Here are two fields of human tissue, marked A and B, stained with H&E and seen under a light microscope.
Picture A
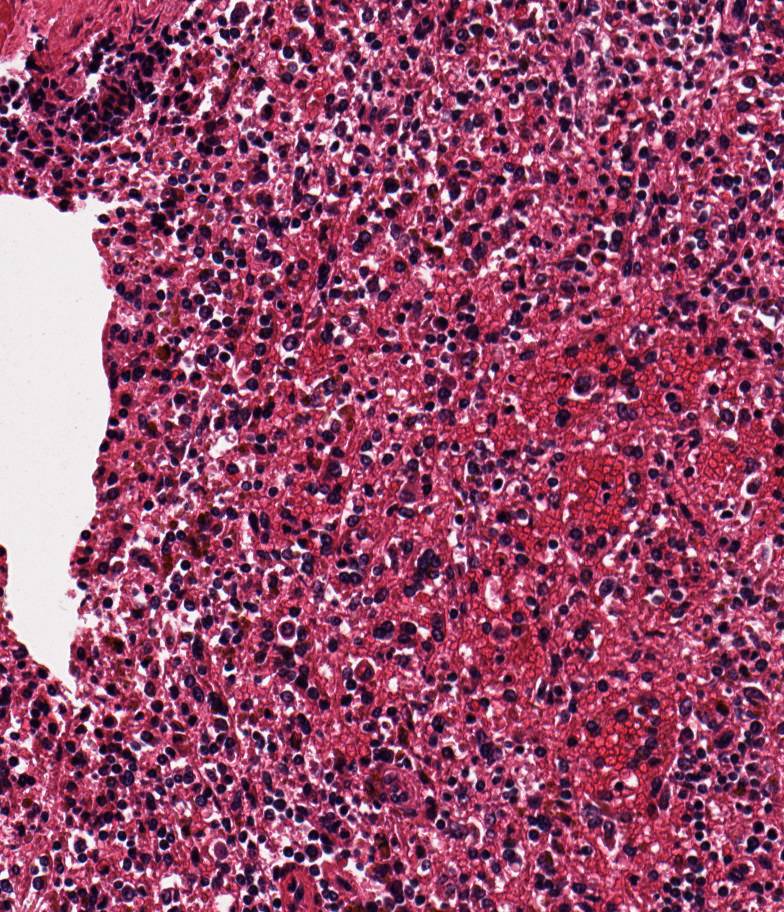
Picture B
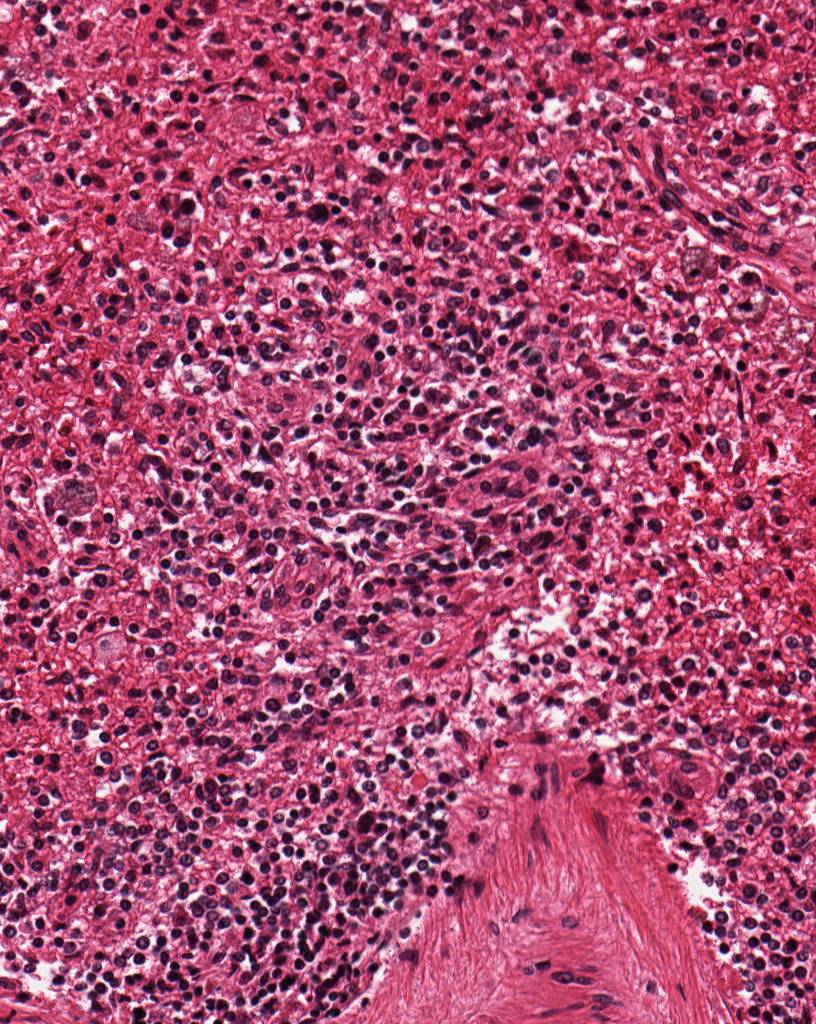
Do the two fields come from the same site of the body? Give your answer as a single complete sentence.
Yes, both come from the spleen.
